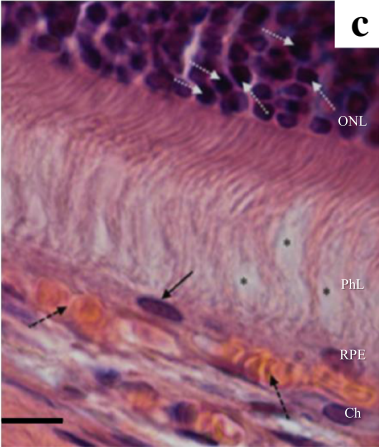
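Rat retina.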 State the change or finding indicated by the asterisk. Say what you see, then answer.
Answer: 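The asterisks lie in the pale striated layer whose fibres are wavy and irregularly oriented. Parts of the layer appear loosened and pale.
Hence: disorientation and disaggregation of the outer segments of photoreceptors.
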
